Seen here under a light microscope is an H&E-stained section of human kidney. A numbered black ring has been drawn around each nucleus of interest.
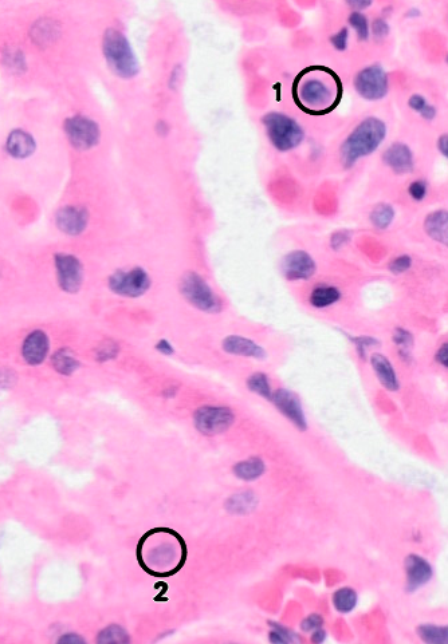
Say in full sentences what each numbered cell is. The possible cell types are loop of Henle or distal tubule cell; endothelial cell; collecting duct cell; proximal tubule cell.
Cell 1 is an endothelial cell and cell 2 is a proximal tubule cell.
